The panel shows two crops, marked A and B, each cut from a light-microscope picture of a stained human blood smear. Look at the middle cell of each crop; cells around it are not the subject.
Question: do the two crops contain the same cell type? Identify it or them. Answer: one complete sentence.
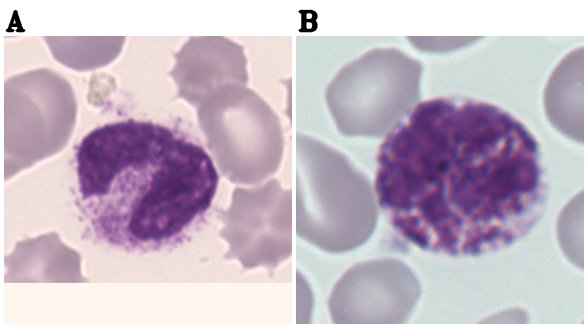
No, crop A has a neutrophil at its center, and crop B has a basophil.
